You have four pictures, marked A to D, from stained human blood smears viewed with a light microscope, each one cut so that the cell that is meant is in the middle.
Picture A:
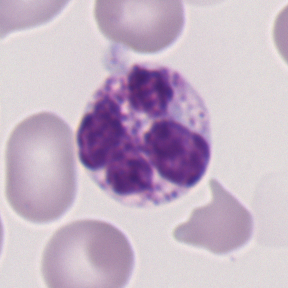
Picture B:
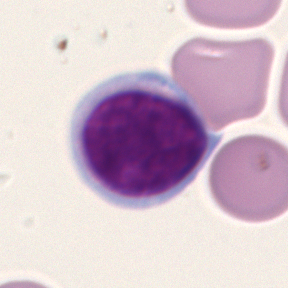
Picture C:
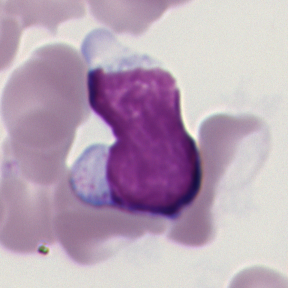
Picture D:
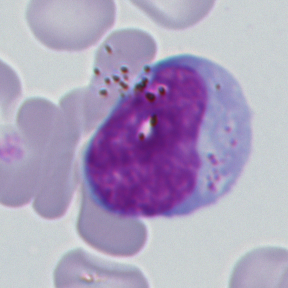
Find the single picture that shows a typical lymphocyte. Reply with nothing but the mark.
B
